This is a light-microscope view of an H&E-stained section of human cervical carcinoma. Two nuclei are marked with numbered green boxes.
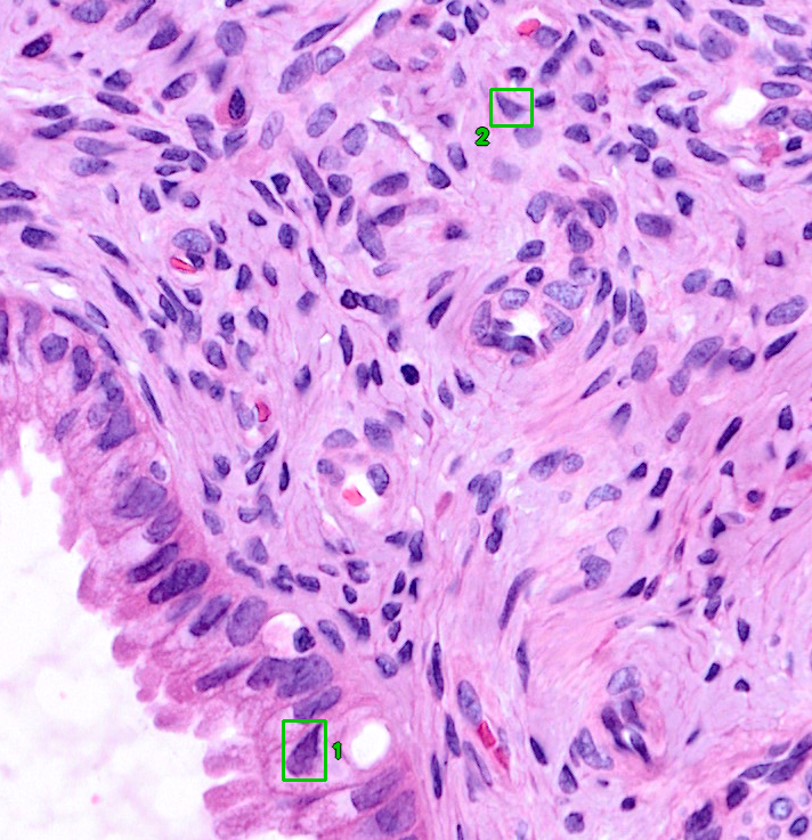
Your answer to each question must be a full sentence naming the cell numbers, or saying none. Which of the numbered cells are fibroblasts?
Cell 2 is a fibroblast, whereas each of the other numbered cells is not.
